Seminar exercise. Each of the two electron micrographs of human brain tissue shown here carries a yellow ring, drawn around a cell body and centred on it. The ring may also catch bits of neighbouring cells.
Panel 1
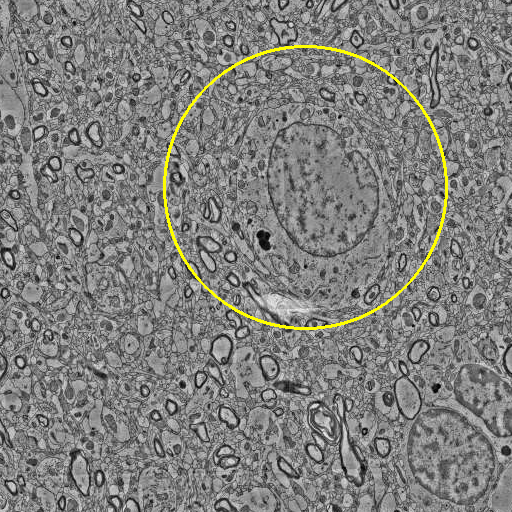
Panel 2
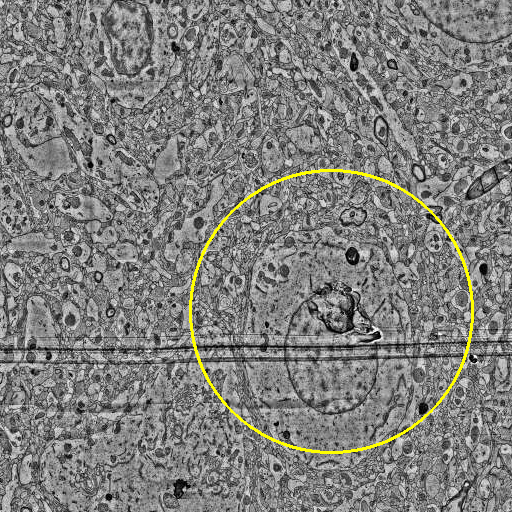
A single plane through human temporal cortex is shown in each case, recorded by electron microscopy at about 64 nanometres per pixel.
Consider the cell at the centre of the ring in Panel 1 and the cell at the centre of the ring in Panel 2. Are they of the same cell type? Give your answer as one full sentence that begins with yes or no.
Yes, both cells are of the same type.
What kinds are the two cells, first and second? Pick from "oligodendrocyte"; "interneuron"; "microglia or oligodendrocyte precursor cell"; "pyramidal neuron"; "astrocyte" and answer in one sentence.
Each of the two pictures has a pyramidal neuron at the ring centre.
